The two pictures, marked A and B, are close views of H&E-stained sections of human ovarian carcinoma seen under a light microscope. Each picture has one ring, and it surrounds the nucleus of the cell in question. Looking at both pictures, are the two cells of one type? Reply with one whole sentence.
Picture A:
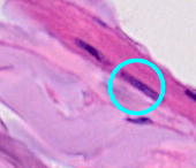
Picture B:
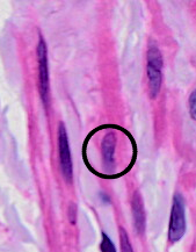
Yes, they are the same type: both are smooth muscle cells.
